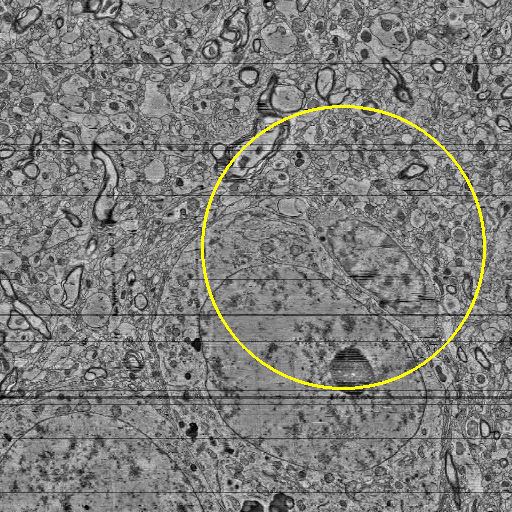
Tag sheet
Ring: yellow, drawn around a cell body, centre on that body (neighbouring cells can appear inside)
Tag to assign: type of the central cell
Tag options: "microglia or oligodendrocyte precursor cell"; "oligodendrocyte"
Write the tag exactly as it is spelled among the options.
oligodendrocyte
